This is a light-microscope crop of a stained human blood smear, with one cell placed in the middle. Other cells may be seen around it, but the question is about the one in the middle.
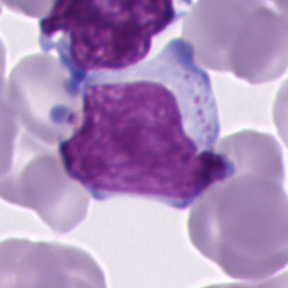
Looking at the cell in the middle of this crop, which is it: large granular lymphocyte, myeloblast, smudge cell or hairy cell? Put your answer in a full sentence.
In the middle of this smear crop is a large granular lymphocyte.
